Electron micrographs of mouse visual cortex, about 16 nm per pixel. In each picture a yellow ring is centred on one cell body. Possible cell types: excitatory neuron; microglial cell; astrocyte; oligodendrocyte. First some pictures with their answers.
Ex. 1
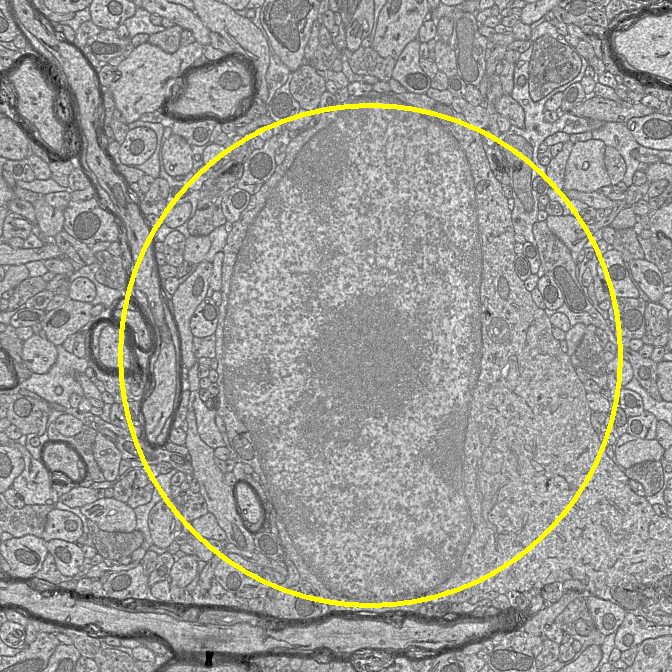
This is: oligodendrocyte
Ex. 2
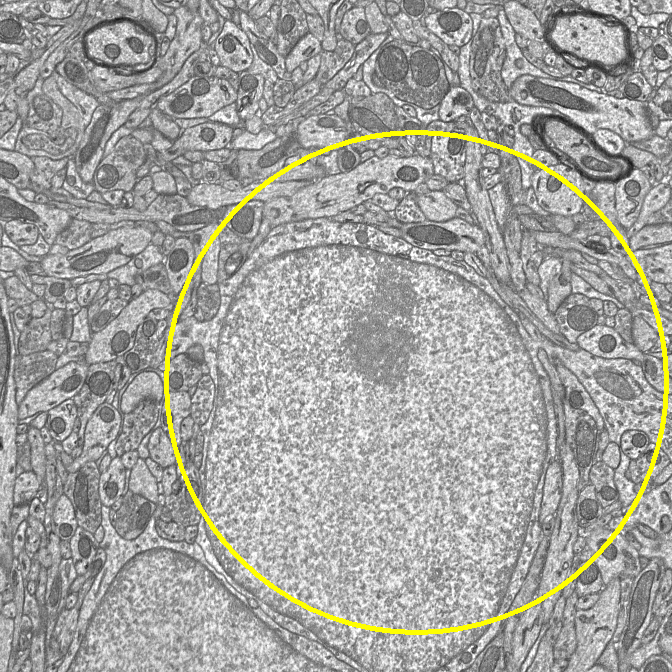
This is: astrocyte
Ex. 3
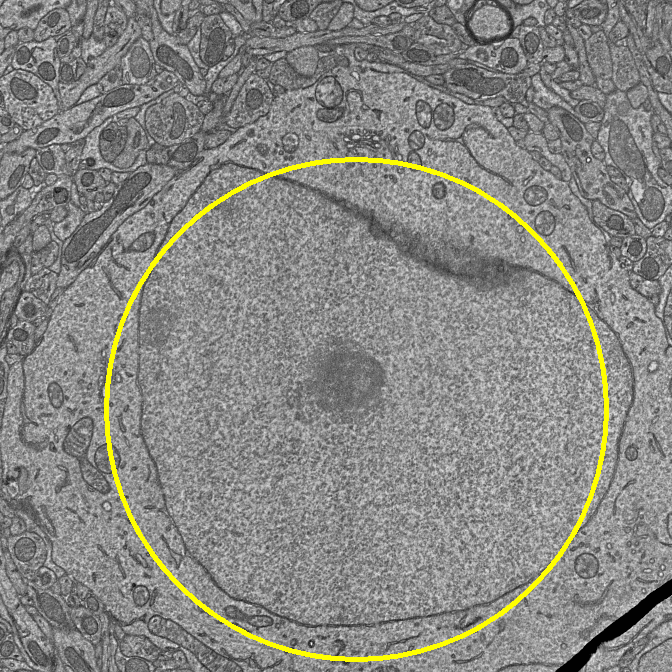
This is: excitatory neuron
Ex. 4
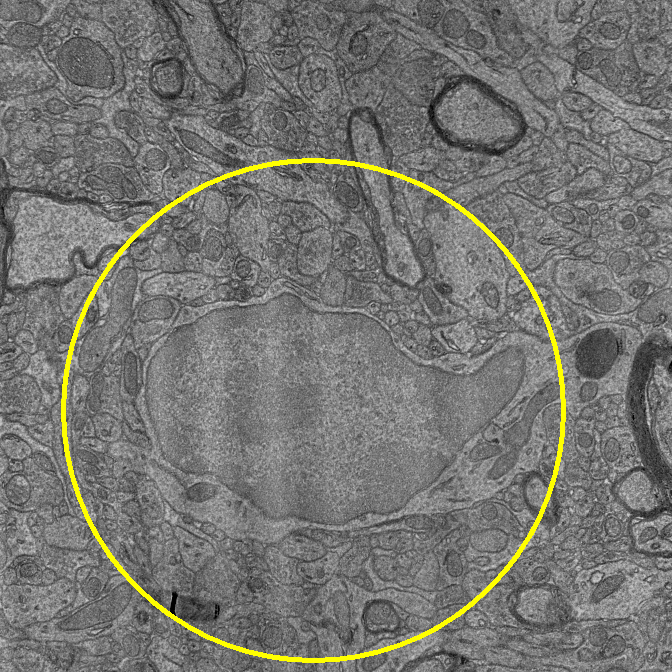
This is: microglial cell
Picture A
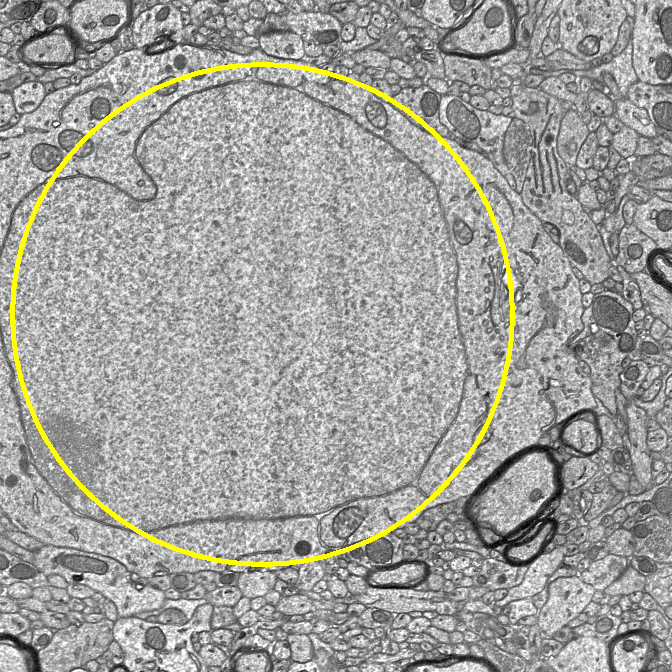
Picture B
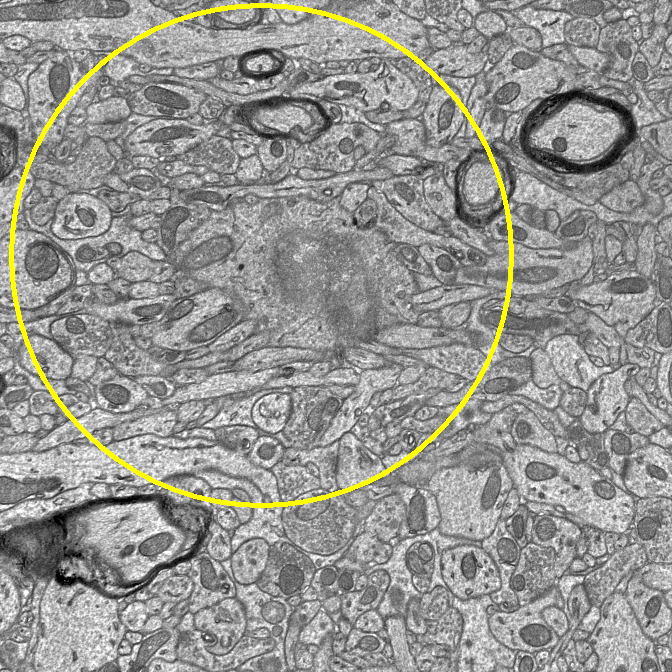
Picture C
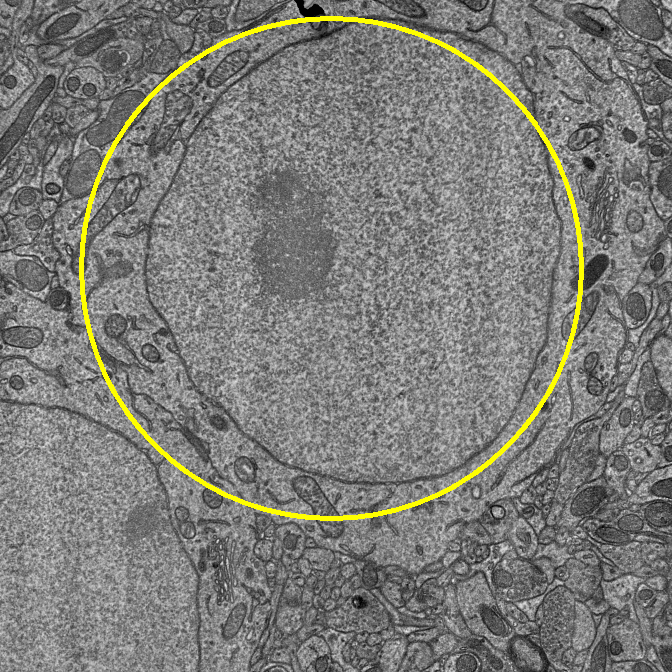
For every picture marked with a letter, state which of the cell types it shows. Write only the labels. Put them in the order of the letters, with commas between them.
excitatory neuron, oligodendrocyte, excitatory neuron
